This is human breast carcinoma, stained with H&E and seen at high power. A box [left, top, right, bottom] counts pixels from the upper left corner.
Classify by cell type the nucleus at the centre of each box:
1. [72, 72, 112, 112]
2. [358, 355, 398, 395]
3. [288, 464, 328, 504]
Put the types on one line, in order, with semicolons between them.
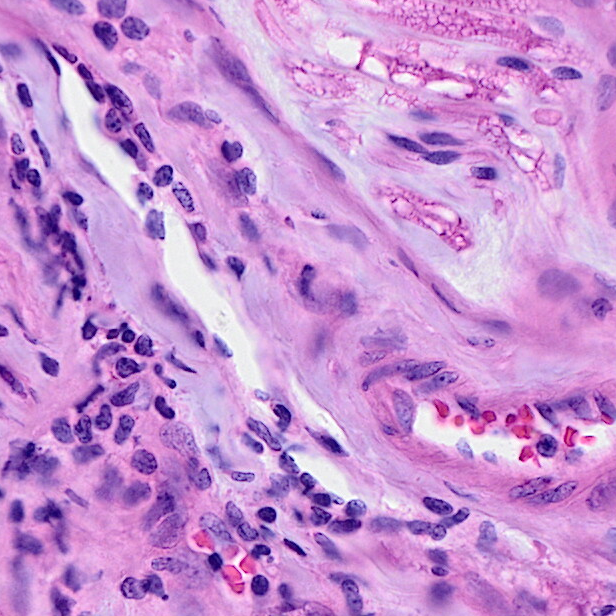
lymphocyte; endothelial cell; lymphocyte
